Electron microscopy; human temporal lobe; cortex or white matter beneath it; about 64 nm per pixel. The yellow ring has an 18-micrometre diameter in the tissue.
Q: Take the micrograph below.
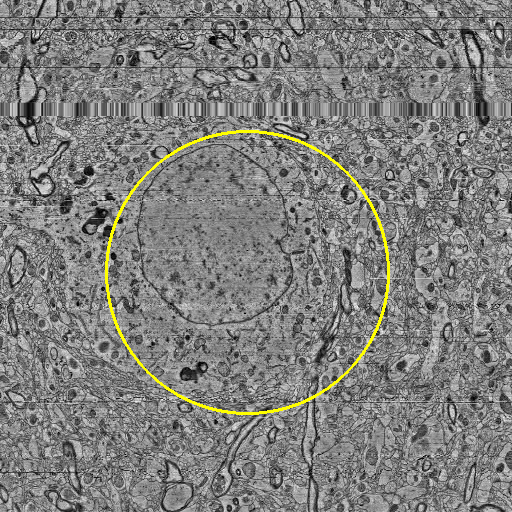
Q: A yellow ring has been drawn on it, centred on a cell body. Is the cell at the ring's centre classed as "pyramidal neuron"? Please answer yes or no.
Yes, that is its kind.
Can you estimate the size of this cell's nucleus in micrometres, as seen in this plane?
In this plane, the nucleus of the cell at the centre of the ring measures about 12 by 10 micrometres.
